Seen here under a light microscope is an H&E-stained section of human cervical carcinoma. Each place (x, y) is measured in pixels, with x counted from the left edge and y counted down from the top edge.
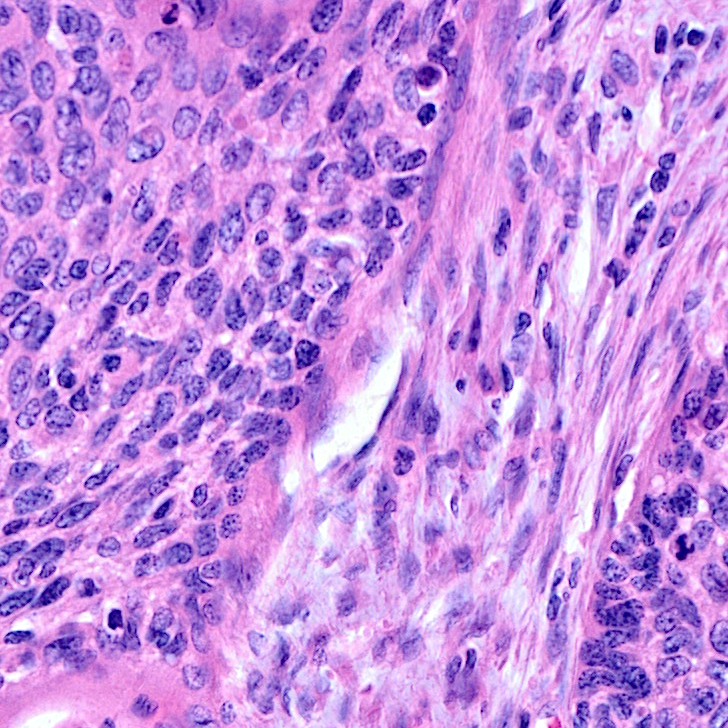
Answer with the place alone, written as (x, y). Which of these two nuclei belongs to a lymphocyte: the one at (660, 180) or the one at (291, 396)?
(660, 180)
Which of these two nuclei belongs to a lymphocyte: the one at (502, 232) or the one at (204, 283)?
(502, 232)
